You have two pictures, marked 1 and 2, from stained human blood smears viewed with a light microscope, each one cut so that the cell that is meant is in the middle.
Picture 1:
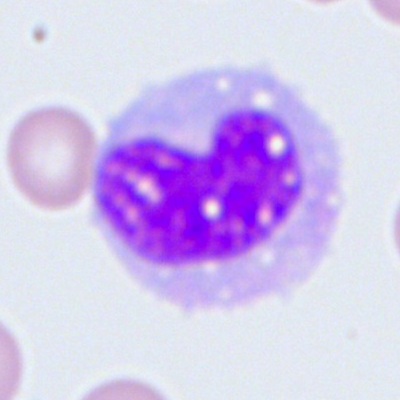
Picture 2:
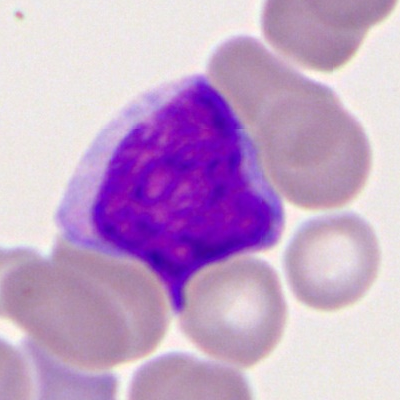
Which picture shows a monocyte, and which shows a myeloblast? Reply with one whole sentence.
It is picture 1 that shows a monocyte, and picture 2 that shows a myeloblast.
